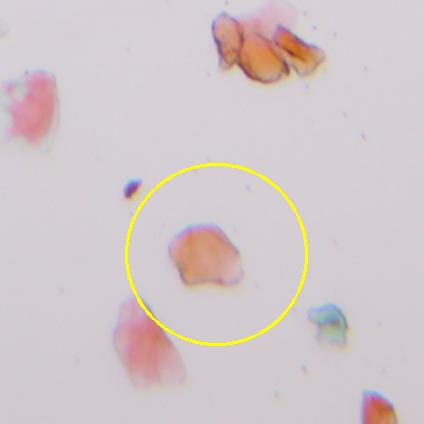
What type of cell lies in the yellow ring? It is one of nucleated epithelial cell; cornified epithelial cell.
The ringed cell is a cornified epithelial cell.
